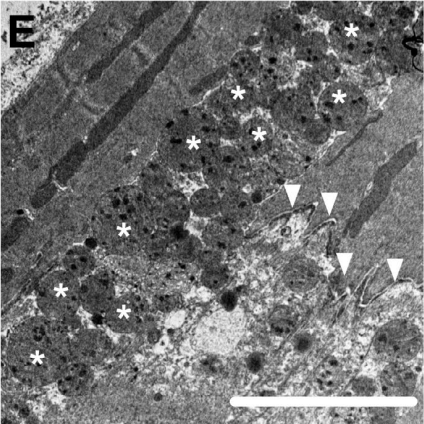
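Cardiac muscle cells in which the ordered structure is badly disrupted. At the lower right, dark wavy membrane segments cross the field, parts of an intercalated disc. The contrast between the preserved and the damaged regions shows severe injury of the cells.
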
